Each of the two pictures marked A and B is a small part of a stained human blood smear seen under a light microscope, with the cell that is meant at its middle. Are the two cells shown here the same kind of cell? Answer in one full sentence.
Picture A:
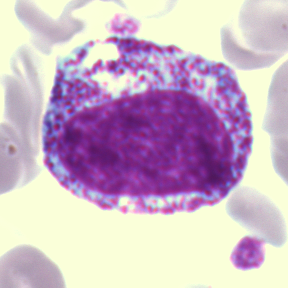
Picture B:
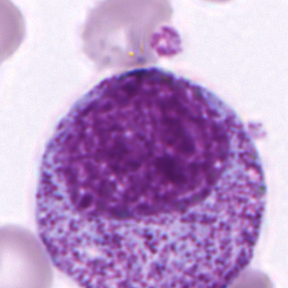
Yes, both cells are promyelocytes.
